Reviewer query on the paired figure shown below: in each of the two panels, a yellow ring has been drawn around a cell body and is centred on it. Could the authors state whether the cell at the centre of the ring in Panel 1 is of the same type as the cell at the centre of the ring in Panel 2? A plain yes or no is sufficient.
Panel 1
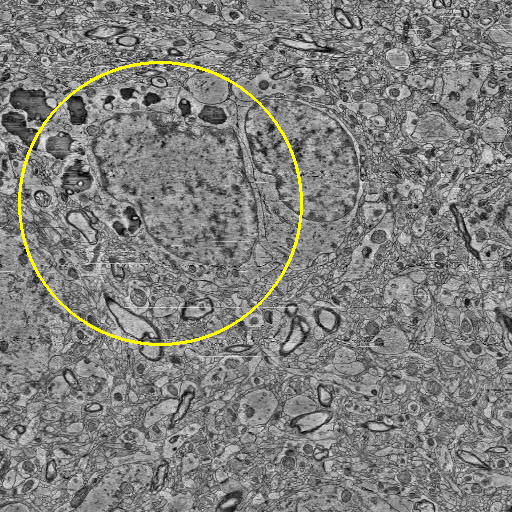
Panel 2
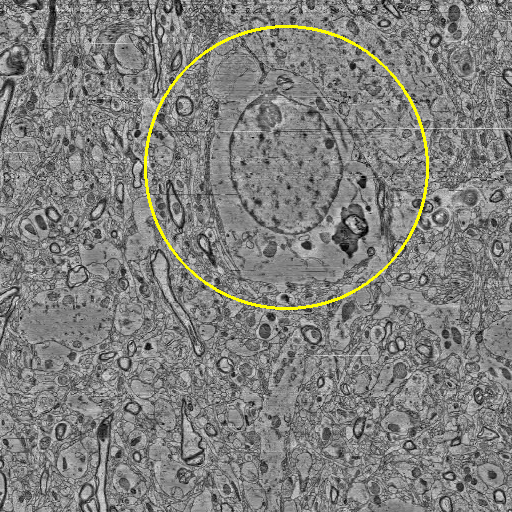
no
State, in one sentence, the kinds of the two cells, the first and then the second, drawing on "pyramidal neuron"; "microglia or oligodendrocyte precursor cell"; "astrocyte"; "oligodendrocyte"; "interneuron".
The ring in the second picture is centred on an astrocyte, the ring in the first on an interneuron.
